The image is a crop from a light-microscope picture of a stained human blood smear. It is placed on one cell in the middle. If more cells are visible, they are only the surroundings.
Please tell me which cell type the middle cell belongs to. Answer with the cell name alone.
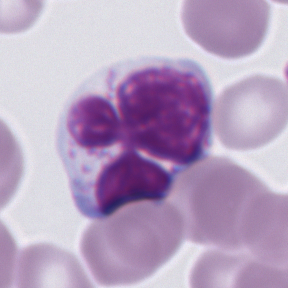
large granular lymphocyte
